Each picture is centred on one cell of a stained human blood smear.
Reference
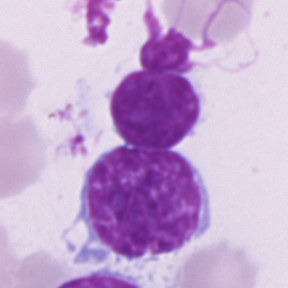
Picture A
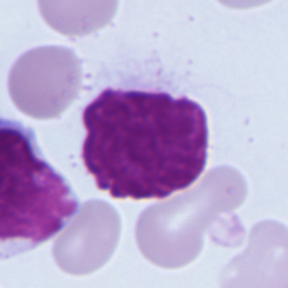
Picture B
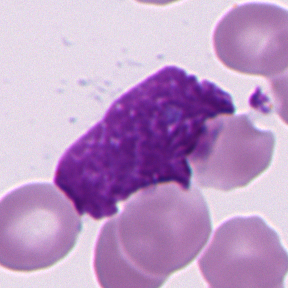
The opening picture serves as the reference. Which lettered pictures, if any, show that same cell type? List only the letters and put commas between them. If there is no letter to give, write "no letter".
no letter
